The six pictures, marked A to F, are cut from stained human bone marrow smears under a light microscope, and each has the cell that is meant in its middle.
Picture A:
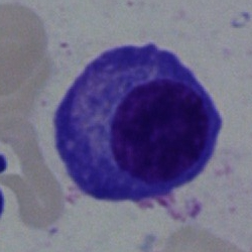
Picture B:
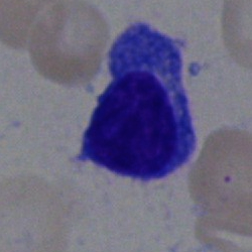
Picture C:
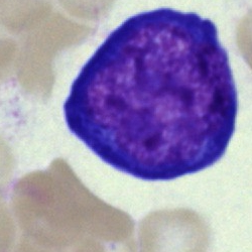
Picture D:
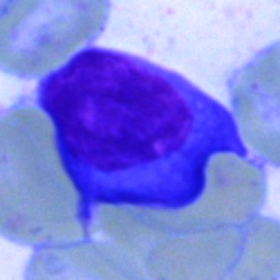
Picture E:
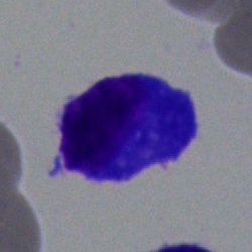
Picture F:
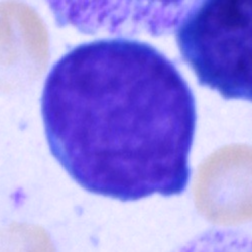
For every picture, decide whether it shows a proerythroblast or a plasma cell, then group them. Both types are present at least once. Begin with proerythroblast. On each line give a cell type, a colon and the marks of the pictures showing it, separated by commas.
proerythroblast: C, F
plasma cell: A, B, D, E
